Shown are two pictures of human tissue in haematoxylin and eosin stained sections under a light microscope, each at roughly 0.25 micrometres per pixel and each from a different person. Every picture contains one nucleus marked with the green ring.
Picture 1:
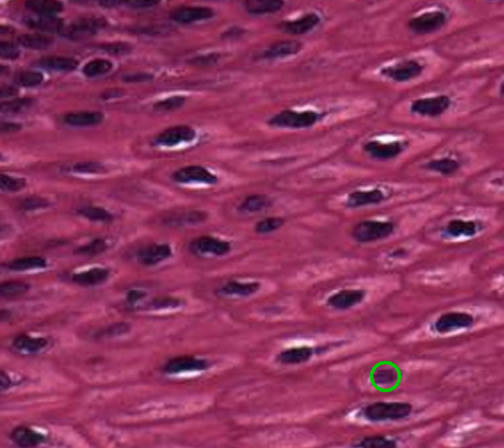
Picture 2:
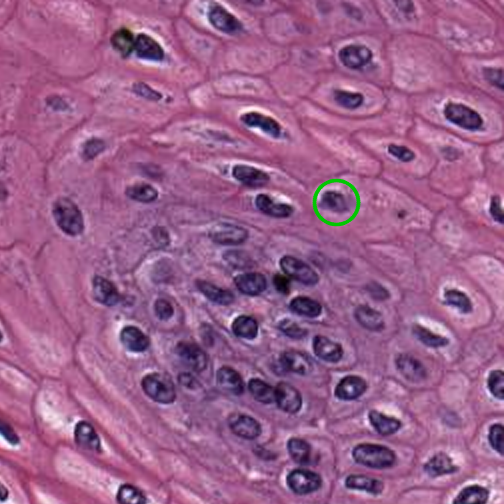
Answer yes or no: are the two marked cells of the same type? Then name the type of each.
Yes, both are squamous epithelial cells.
